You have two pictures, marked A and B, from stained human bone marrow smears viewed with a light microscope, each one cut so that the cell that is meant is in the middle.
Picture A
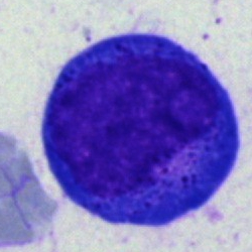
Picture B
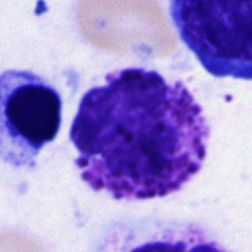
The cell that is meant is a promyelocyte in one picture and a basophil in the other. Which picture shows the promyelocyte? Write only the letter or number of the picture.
A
